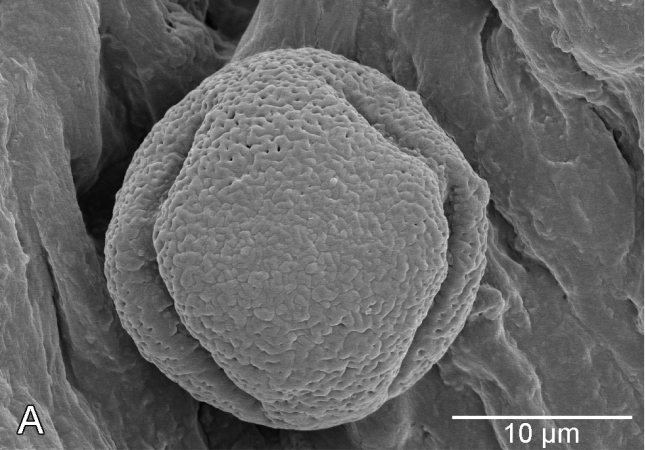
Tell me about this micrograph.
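This is a single pollen grain seen from the side, lying on a folded, smooth background surface. The grain is rounded, and a broad raised field of wall faces the viewer in the middle, bordered by furrows that run along either side. The whole outer wall is finely sculptured with small, wavy ridges and tiny pits.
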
